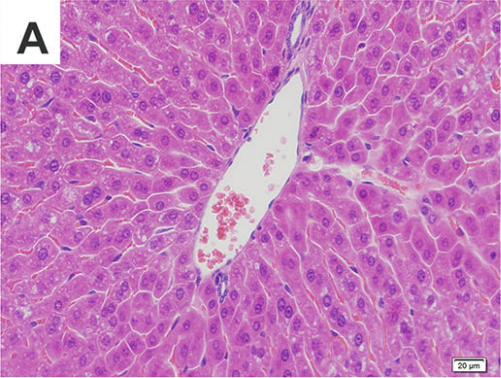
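Liver tissue in which cords of polygonal hepatocytes radiate from a central vein, separated by narrow sinusoids. The hepatocytes have pink cytoplasm and round, centrally placed nuclei with visible nucleoli. The vein lumen is mostly empty with a few red blood cells.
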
